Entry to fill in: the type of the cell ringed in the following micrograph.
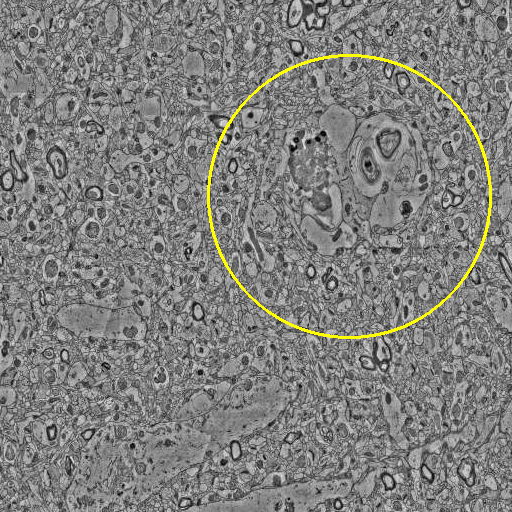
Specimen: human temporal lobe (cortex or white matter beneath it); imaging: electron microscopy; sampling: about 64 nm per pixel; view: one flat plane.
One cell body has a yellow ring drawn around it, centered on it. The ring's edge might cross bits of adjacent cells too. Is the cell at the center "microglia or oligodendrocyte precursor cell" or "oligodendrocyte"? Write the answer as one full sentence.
This entry names a microglial cell or oligodendrocyte precursor cell as the cell whose body lies at the ring's center.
